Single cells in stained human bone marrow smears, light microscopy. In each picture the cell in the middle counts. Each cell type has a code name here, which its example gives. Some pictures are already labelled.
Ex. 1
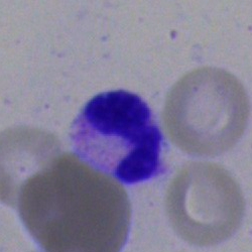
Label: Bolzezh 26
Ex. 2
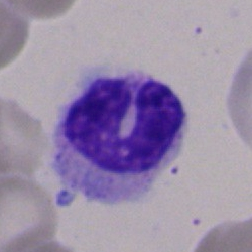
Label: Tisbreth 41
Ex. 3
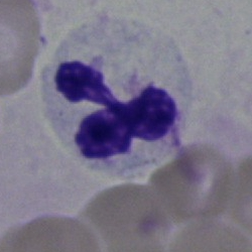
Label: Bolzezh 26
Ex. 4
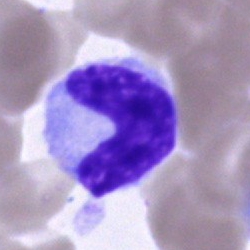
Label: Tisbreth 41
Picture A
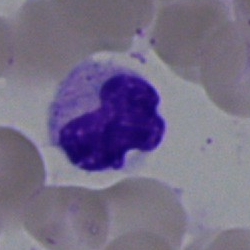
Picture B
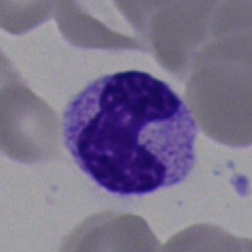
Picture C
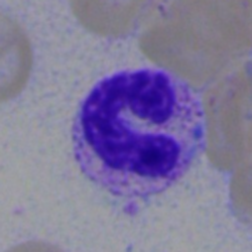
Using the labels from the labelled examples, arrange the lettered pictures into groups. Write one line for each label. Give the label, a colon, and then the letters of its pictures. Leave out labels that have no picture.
Bolzezh 26: A
Tisbreth 41: B, C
